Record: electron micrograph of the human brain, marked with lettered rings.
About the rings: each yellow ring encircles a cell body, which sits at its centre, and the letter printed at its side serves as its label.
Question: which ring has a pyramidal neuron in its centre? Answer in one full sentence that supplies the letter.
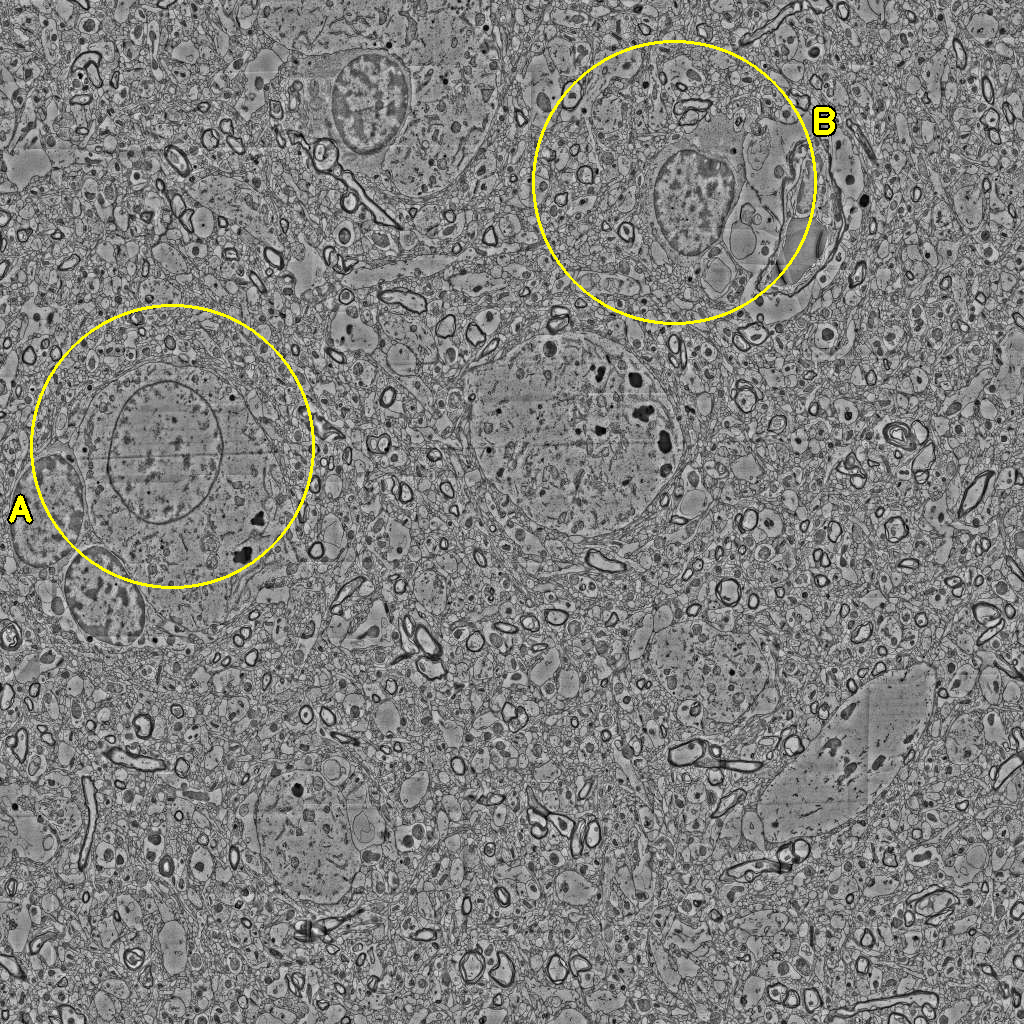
Within the picture, a cell of that kind is centred inside the ring marked A.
